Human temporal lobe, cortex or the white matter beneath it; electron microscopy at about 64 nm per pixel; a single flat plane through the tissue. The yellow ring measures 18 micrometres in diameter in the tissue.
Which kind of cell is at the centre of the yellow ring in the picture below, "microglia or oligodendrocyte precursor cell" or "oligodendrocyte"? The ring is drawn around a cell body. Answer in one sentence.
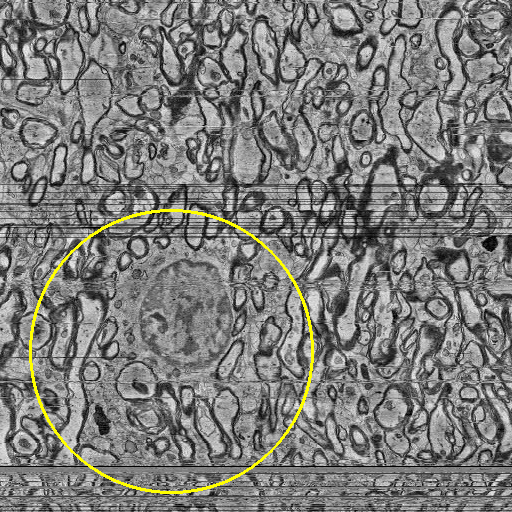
The ring's central cell is an oligodendrocyte.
